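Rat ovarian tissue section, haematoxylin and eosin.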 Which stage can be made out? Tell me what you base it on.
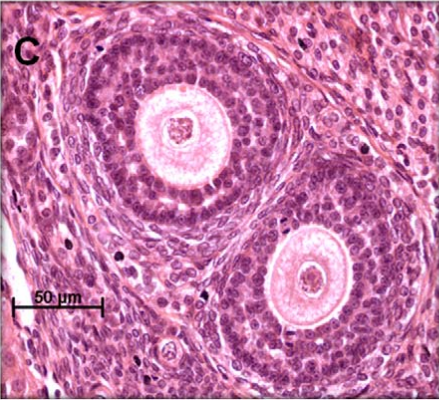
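Two follicles each have a central oocyte surrounded by several layers of cells with dark round nuclei. No fluid-filled cavity is present among the surrounding cells.
Secondary.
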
